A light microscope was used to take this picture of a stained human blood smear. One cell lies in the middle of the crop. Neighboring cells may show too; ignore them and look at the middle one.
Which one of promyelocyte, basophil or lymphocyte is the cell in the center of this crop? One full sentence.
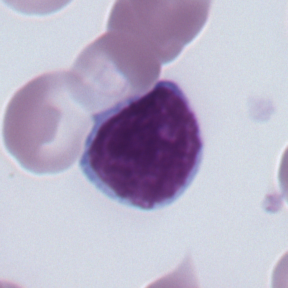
To answer, the cell in the center of the crop is a lymphocyte.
